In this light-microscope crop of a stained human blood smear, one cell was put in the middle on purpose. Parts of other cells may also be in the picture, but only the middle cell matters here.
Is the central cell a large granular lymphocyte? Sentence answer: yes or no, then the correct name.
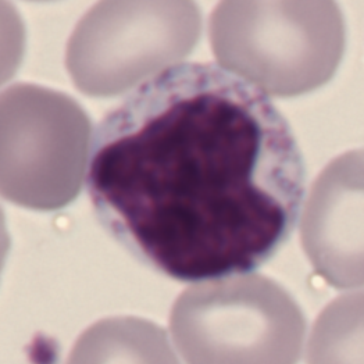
Yes, a large granular lymphocyte occupies the middle of the crop.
